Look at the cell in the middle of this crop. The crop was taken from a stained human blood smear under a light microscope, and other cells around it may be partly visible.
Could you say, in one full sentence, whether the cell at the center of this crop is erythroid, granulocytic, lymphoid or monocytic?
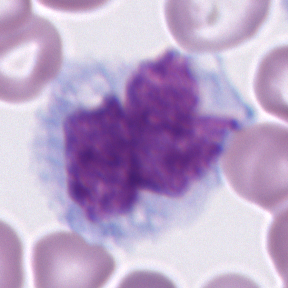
The cell at the center is a representative of the monocytic lineage.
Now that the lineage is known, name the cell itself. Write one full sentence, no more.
The identification for the central cell is a monocyte.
